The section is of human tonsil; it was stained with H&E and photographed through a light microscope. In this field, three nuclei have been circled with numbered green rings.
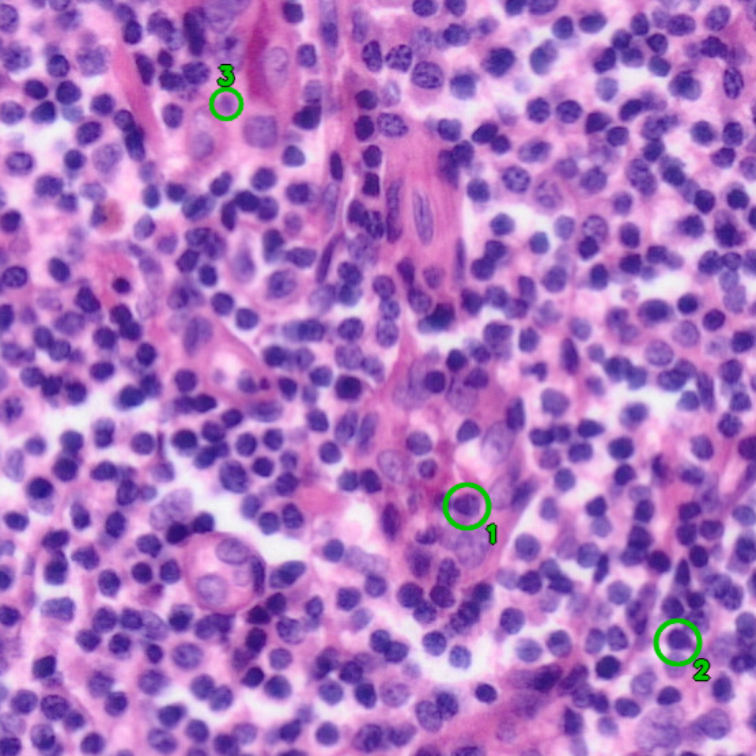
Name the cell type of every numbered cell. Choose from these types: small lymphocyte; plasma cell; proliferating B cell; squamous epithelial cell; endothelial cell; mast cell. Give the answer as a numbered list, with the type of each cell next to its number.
1. endothelial cell
2. small lymphocyte
3. endothelial cell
